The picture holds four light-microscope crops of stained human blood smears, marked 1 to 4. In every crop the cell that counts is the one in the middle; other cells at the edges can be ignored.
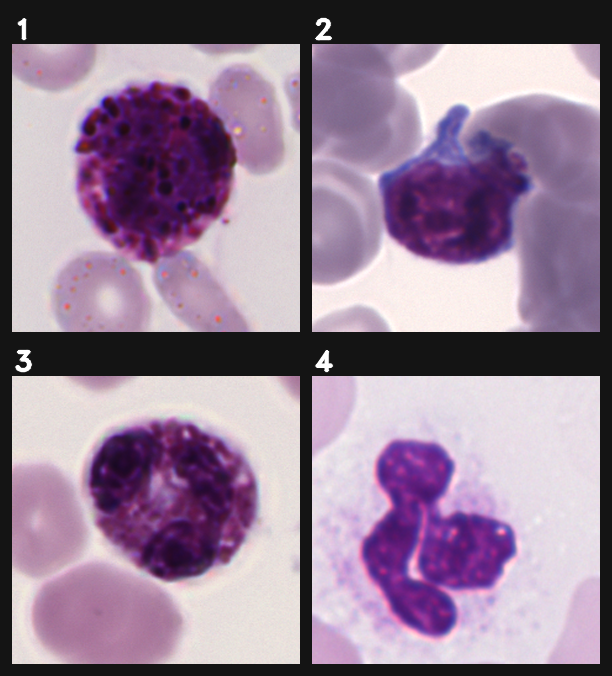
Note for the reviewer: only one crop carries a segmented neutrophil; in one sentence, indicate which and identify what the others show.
The cell centred in crop 4 is a segmented neutrophil; by contrast, crop 1 is a basophil, crop 2 is a typical lymphocyte and crop 3 is an eosinophil.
